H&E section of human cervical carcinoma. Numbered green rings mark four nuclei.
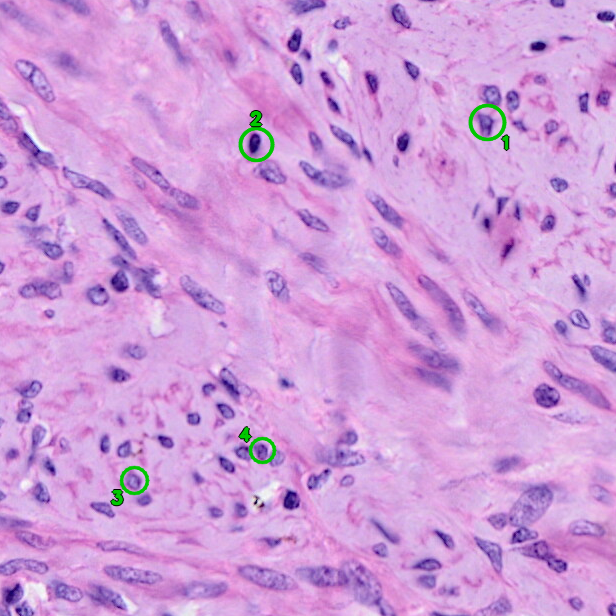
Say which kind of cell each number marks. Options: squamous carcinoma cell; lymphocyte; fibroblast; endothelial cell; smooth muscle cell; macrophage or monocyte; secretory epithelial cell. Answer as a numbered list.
1. smooth muscle cell
2. lymphocyte
3. smooth muscle cell
4. smooth muscle cell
